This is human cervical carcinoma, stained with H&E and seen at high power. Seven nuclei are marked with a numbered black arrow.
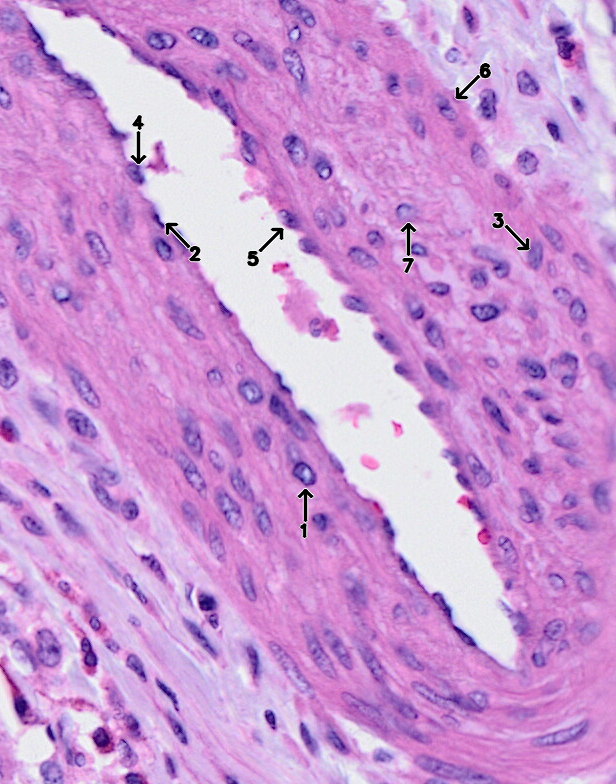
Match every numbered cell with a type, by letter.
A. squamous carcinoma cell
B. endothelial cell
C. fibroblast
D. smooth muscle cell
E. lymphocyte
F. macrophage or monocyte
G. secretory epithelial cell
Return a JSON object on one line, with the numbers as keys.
{"1": "D", "2": "B", "3": "D", "4": "B", "5": "B", "6": "D", "7": "D"}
